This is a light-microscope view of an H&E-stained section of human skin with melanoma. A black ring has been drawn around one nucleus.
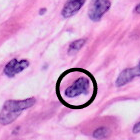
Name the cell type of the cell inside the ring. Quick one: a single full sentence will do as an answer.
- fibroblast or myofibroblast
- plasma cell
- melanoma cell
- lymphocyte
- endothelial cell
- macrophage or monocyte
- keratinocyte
Just put down that the cell inside the ring is a lymphocyte.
